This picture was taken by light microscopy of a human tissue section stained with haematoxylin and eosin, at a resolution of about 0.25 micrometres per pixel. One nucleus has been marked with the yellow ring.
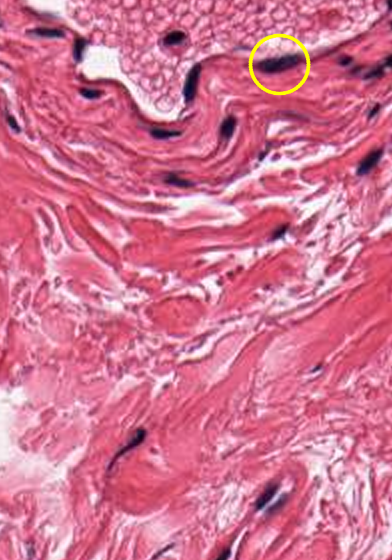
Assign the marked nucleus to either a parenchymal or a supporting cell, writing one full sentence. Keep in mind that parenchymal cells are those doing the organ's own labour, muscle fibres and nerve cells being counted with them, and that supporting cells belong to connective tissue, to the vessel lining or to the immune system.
Lying in a supporting cell is the marked nucleus.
